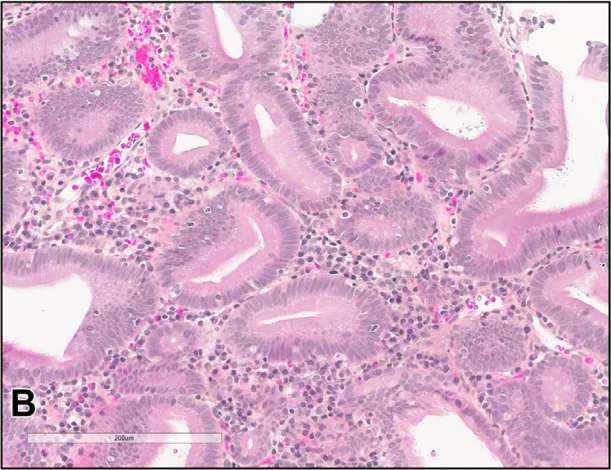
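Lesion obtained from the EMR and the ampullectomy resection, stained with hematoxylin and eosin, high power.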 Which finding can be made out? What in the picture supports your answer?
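Nuclear stratification. Gland-lining cells have elongated, crowded nuclei lying at several heights. Nuclei are not confined to a single basal row.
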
